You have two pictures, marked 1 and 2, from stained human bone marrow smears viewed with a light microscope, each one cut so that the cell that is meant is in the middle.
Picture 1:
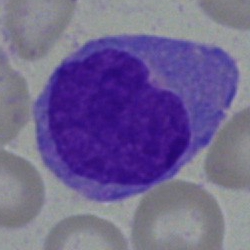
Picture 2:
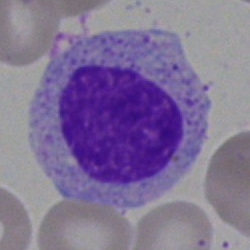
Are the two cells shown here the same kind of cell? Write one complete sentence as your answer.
No. Picture 1 shows a monocyte, but picture 2 shows a myelocyte.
